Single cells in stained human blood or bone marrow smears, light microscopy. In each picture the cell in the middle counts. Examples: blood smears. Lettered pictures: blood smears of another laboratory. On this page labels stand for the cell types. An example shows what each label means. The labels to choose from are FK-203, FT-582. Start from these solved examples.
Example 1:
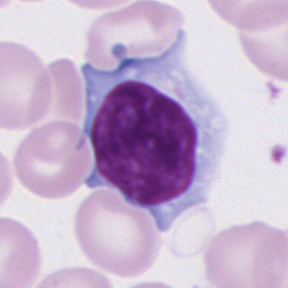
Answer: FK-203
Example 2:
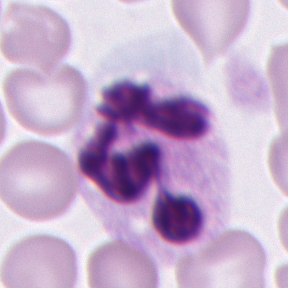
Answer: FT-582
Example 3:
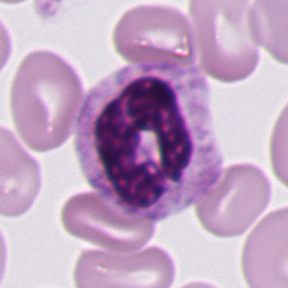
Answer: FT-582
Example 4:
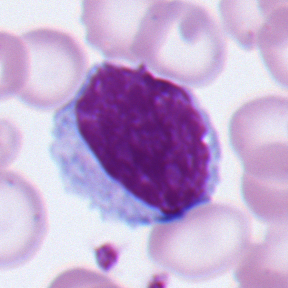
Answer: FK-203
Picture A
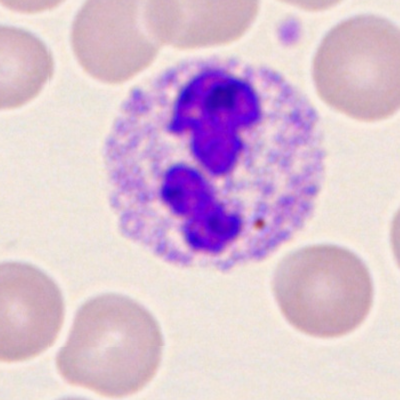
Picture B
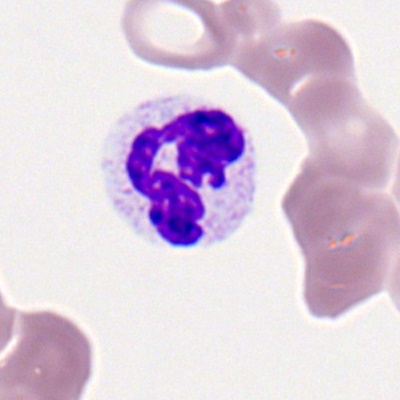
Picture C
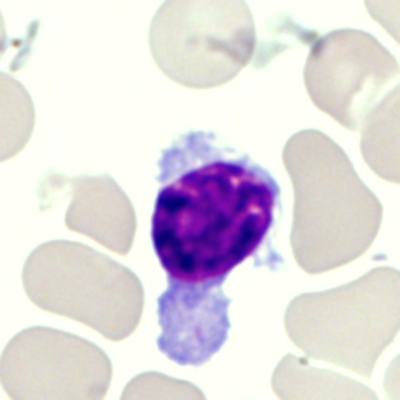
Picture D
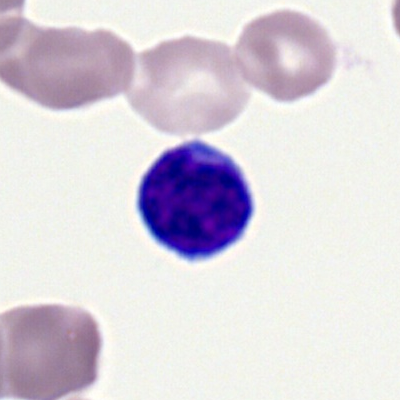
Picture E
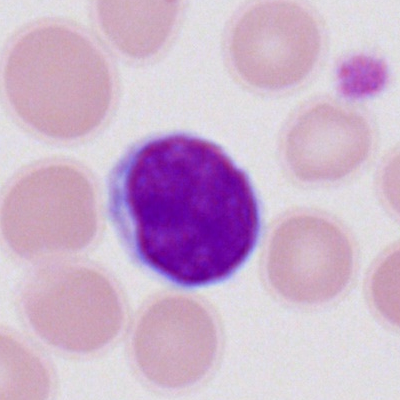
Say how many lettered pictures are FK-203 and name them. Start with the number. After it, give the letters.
3, namely C, D, E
